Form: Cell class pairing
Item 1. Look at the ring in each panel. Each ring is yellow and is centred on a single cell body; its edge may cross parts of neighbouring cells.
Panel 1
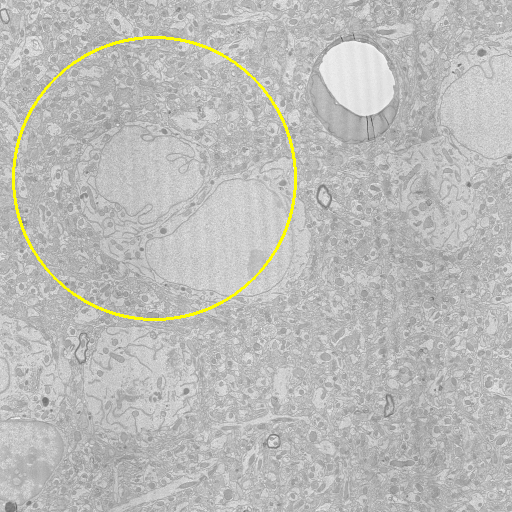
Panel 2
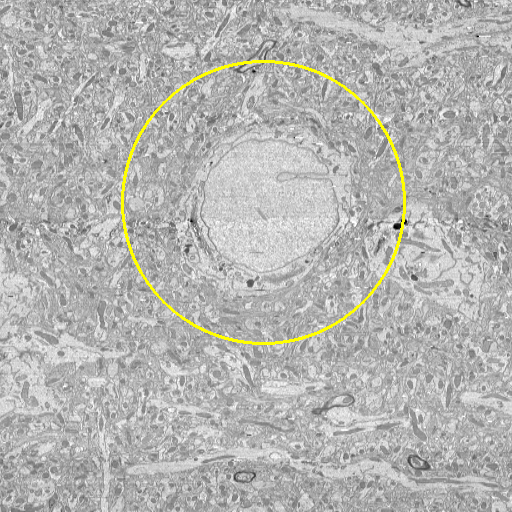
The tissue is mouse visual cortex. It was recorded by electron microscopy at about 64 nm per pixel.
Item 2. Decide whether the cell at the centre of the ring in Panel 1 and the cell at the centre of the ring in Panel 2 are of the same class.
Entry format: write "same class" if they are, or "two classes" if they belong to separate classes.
same class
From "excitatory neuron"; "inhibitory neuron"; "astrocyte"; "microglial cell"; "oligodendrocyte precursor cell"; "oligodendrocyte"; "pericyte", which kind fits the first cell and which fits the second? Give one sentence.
Each cell at the centre of a ring is an inhibitory neuron.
